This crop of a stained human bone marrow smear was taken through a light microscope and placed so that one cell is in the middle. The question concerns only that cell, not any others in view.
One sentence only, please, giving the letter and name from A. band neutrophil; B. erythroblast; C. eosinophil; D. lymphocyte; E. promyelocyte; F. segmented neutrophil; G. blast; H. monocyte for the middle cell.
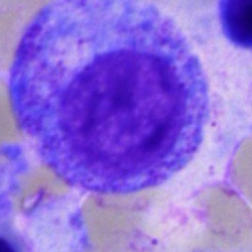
Option E is the right choice, the central cell being a promyelocyte.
